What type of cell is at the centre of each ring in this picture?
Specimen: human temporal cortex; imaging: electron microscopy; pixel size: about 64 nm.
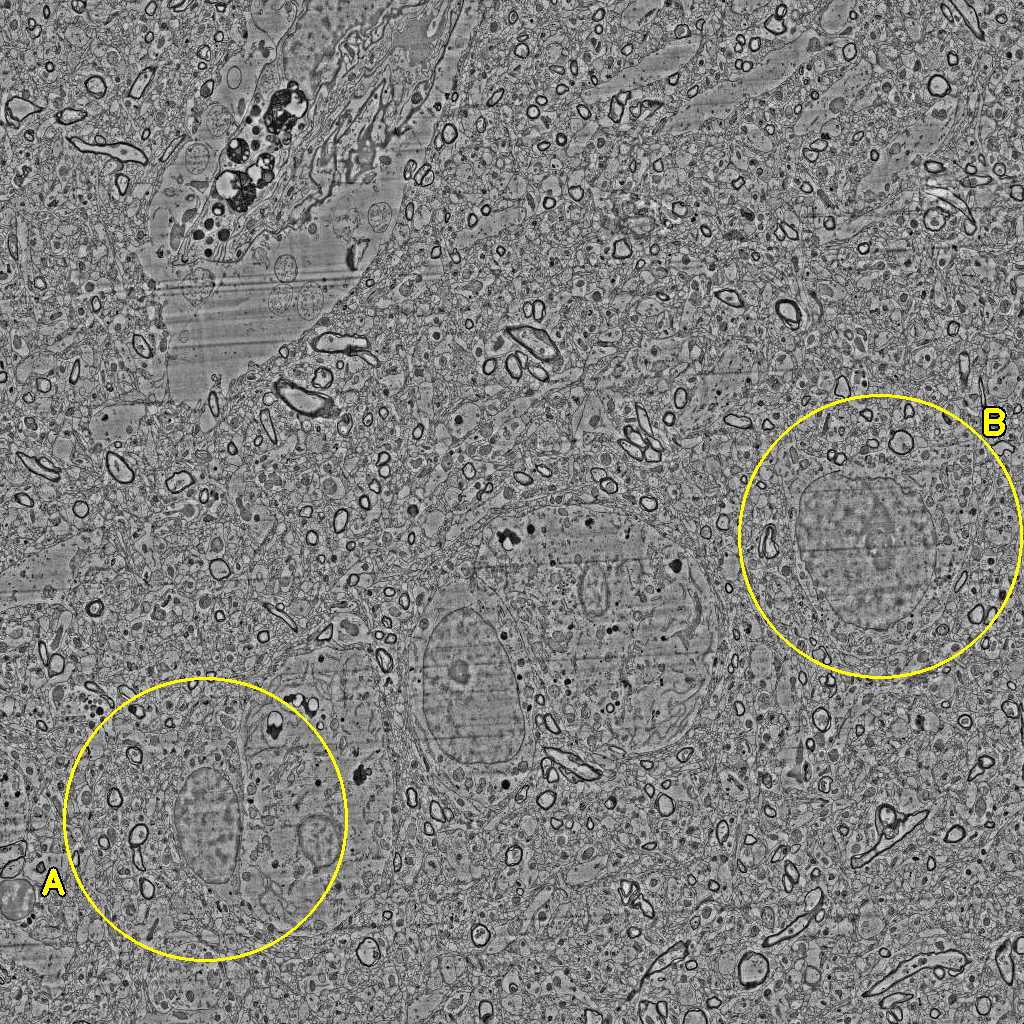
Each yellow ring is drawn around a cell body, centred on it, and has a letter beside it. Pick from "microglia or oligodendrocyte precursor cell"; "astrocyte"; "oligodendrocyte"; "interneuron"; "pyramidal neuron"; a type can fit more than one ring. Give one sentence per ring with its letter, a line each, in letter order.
The ring marked A is centred on an oligodendrocyte.
The ring marked B is centred on an interneuron.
